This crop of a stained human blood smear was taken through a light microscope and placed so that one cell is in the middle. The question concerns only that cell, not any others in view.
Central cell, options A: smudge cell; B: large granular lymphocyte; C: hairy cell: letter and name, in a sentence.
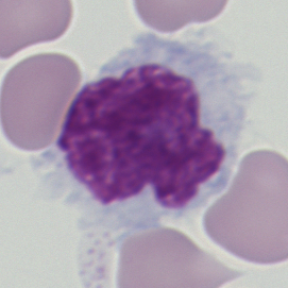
Option C is the correct selection, for the cell at the centre is a hairy cell.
